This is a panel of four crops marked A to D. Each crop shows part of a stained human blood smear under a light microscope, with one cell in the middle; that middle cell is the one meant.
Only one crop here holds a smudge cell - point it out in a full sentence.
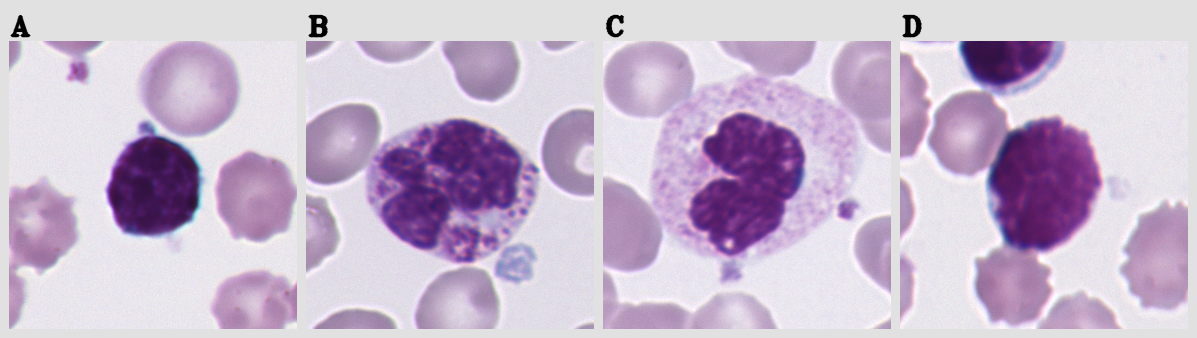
Of these crops, it is crop D that shows a smudge cell.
